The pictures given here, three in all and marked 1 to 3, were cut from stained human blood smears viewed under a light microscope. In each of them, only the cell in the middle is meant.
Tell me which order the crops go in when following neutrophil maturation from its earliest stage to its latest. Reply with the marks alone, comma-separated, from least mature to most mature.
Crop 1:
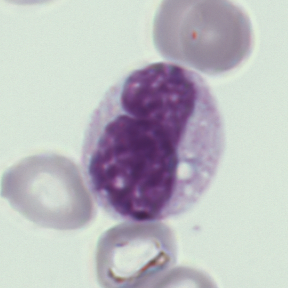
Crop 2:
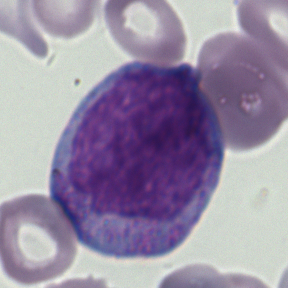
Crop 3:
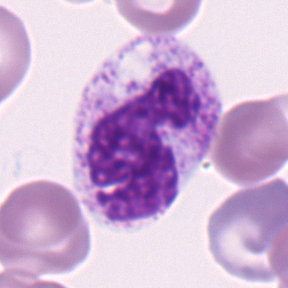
2, 1, 3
